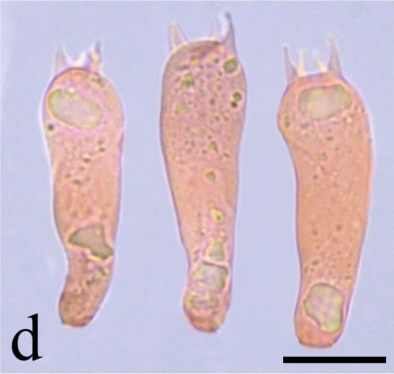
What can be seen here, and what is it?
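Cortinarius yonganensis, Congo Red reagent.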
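Three basidia of a mushroom stand side by side, each an elongated club-shaped cell that widens toward a rounded apex and narrows toward its base. From the apex of each rise slender, tapering prongs on which spores would be borne. The cytoplasm is stained pinkish orange and looks granular, dotted with small refractile granules, and each cell holds one or more larger rounded, pale droplets, often one near the apex and another near the base. The cell outlines are smooth and thin, and the background is pale blue-grey.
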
